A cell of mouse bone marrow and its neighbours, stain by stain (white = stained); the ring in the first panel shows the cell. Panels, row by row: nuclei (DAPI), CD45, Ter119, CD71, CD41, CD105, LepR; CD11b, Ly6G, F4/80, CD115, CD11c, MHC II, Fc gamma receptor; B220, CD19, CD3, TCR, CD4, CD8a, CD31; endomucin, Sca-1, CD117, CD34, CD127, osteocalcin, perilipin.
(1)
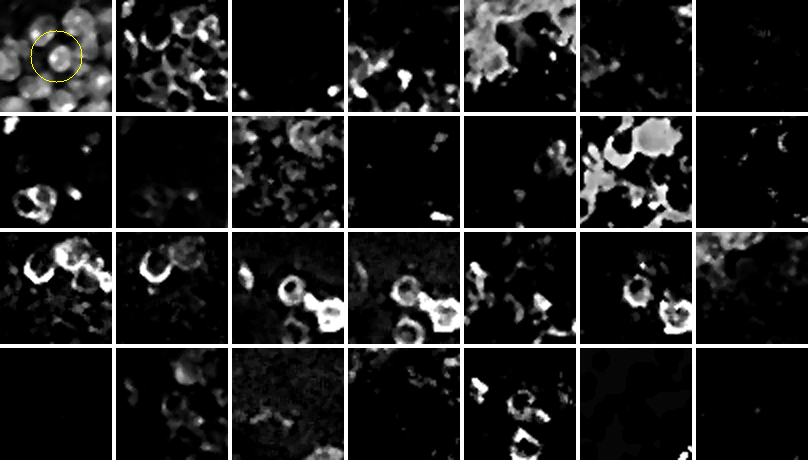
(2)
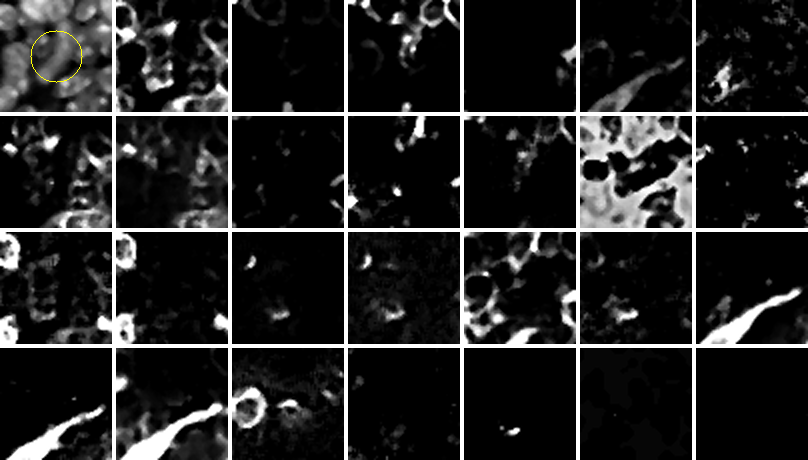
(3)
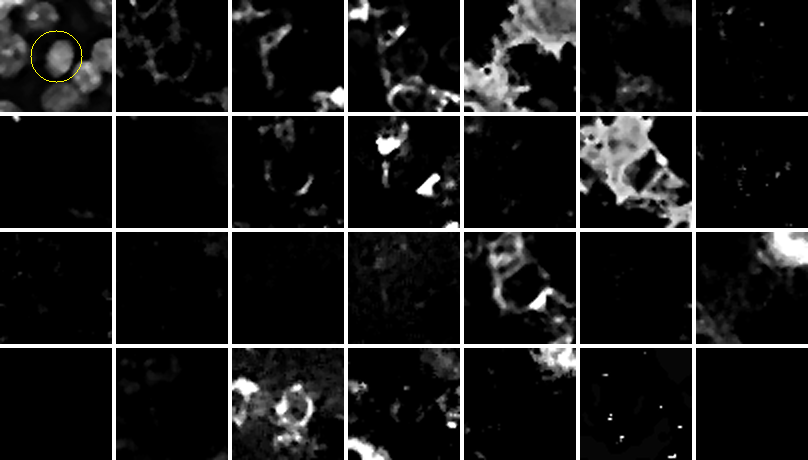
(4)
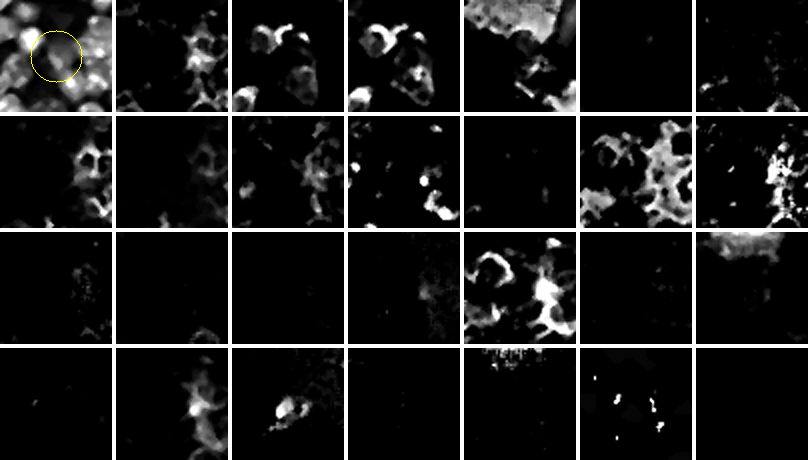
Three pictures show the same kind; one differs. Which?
Picture 1: a CD8 T cell, while the others are megakaryocyte-erythroid progenitors.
